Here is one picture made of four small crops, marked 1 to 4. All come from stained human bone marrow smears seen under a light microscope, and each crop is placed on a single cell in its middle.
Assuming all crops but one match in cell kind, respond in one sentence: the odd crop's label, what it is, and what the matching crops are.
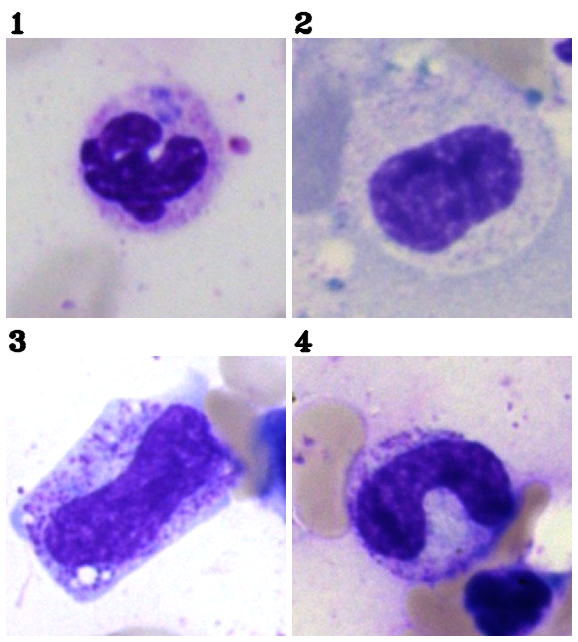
The crops all show band neutrophils, with the exception of crop 1, which shows a segmented neutrophil.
